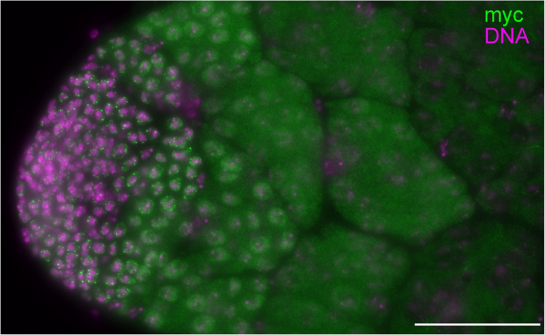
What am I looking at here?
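Apical region of a testis with its rounded tip at the left. Near the tip many small cells with compact nuclei are packed densely; further away the cells grow larger and lie in groups.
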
